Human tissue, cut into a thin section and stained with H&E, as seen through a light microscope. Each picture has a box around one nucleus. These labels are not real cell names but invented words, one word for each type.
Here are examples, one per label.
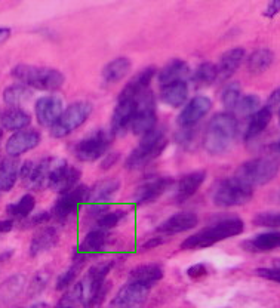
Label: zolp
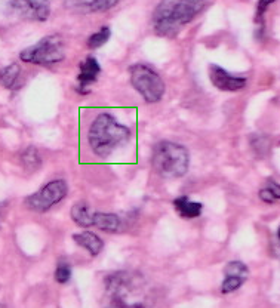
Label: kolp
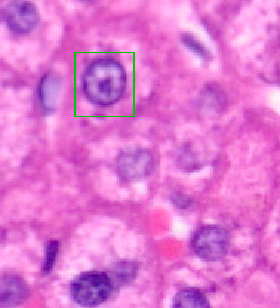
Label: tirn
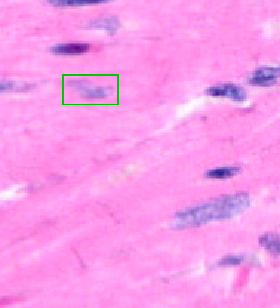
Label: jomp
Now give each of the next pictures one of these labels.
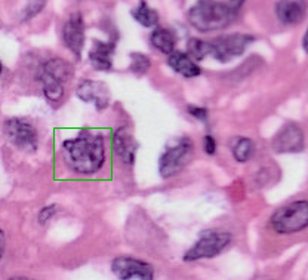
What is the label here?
kolp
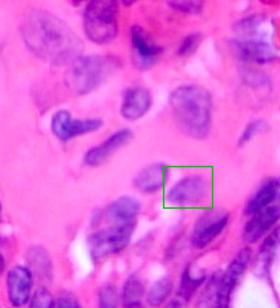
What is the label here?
zolp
